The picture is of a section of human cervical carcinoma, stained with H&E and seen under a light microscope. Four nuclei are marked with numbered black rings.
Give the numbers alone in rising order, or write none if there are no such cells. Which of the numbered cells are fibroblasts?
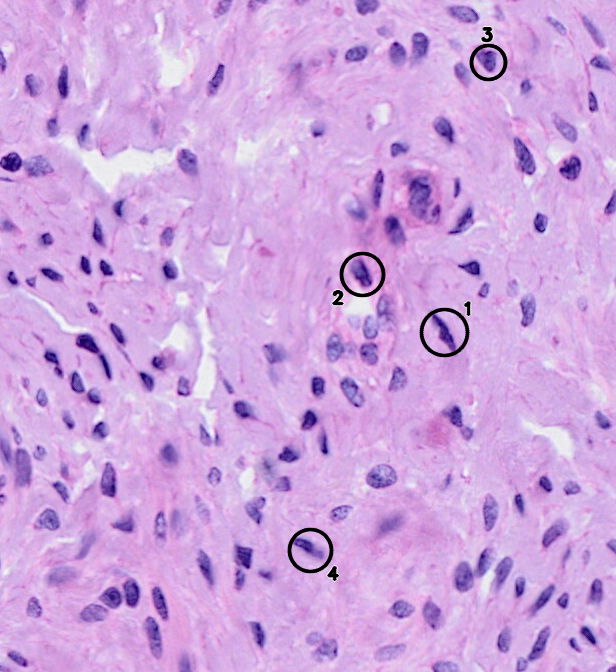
1, 3, 4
